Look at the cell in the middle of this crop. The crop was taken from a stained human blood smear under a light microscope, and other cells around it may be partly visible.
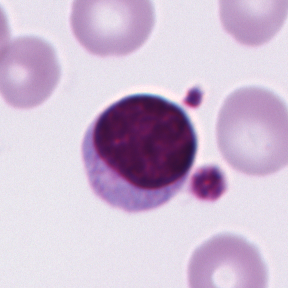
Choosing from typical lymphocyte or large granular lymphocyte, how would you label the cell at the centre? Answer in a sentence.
The cell nearest the centre of this crop is a typical lymphocyte.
